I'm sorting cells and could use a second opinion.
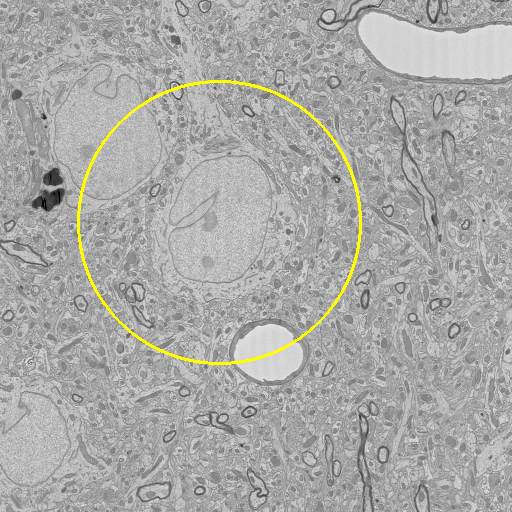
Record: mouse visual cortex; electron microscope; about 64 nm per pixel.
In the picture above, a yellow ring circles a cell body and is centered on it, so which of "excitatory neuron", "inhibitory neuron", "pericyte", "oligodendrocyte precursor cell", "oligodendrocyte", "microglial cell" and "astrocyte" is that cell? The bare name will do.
excitatory neuron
